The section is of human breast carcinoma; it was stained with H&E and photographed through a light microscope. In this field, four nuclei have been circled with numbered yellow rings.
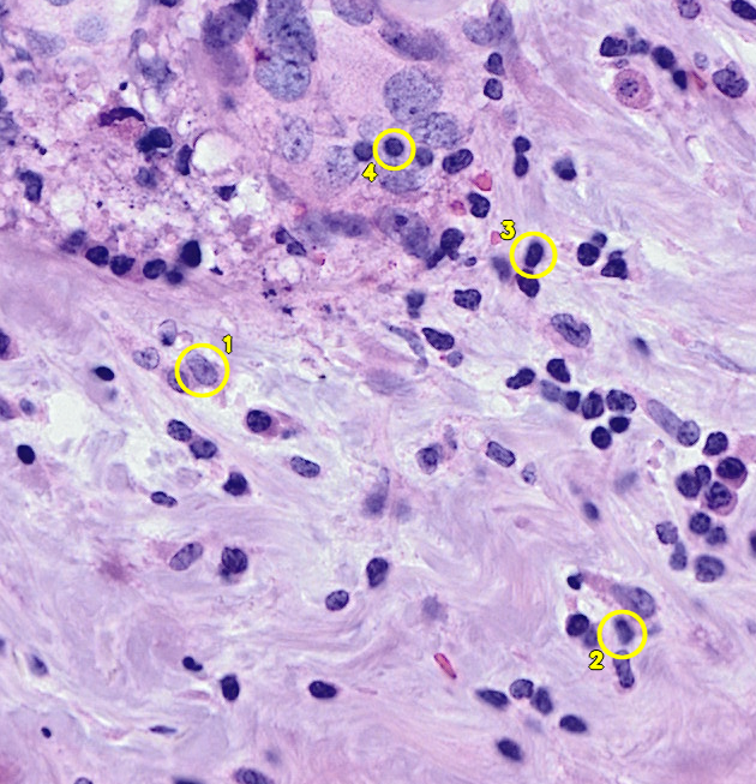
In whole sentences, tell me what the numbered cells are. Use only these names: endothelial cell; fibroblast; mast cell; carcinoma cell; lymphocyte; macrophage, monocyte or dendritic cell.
Cell 1 is a macrophage, monocyte or dendritic cell, cell 2 is a lymphocyte, cell 3 is a lymphocyte and cell 4 is a lymphocyte.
